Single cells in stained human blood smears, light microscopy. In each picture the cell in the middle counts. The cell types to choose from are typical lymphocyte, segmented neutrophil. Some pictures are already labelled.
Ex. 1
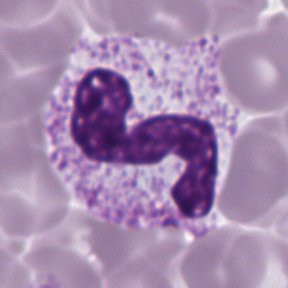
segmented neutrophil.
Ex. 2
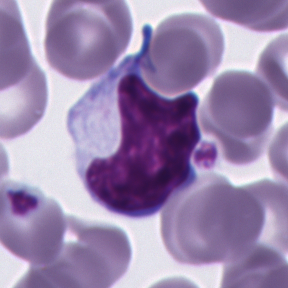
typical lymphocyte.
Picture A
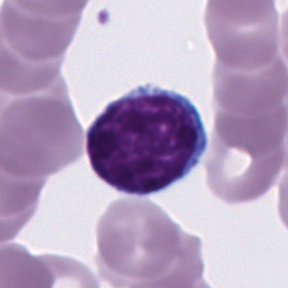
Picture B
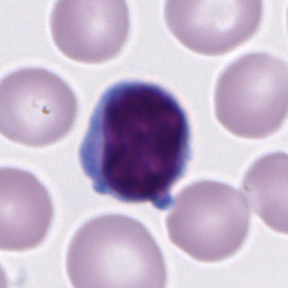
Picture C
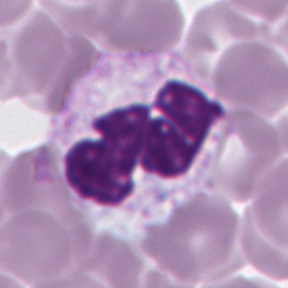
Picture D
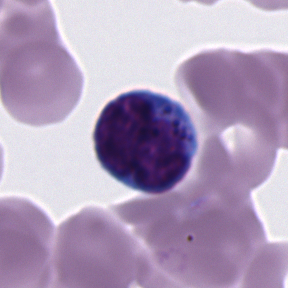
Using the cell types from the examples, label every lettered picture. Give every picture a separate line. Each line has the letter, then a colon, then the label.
A: typical lymphocyte.
B: typical lymphocyte.
C: segmented neutrophil.
D: typical lymphocyte.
